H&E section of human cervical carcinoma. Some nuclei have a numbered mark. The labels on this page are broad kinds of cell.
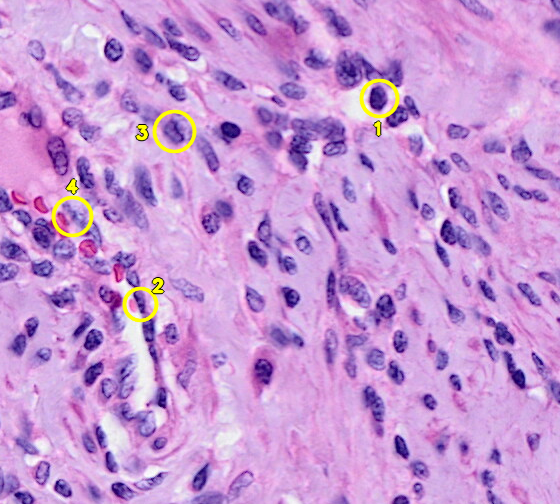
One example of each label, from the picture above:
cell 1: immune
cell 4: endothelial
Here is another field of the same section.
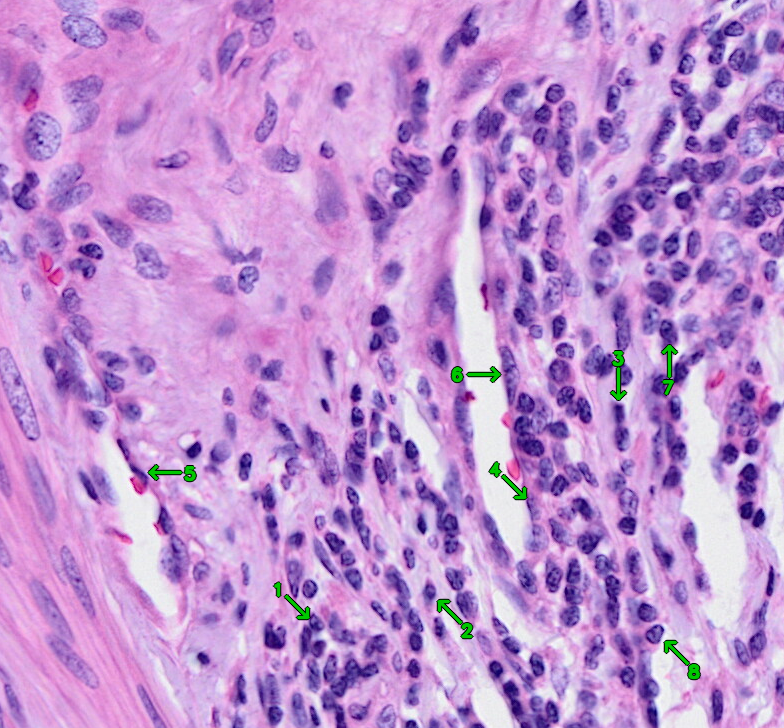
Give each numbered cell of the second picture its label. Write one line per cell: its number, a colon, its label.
1: immune
2: immune
3: immune
4: endothelial
5: endothelial
6: endothelial
7: immune
8: immune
